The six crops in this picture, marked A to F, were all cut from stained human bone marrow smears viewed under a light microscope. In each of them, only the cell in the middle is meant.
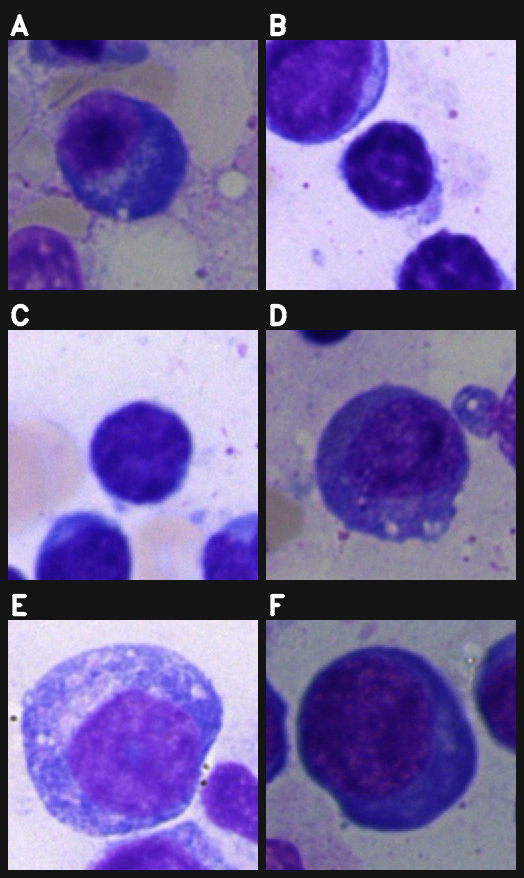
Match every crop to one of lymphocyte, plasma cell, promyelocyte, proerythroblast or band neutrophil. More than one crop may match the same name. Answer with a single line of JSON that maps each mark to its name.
{"A": "plasma cell", "B": "lymphocyte", "C": "lymphocyte", "D": "promyelocyte", "E": "promyelocyte", "F": "proerythroblast"}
